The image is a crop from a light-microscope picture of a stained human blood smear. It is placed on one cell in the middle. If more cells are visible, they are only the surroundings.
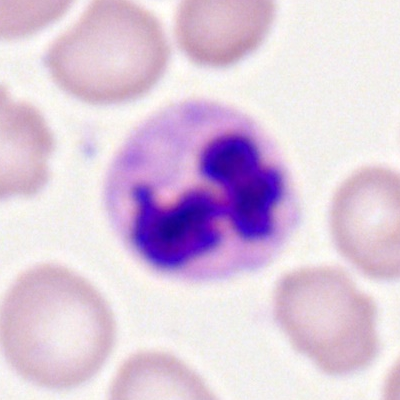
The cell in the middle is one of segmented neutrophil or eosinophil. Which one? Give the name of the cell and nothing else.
segmented neutrophil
